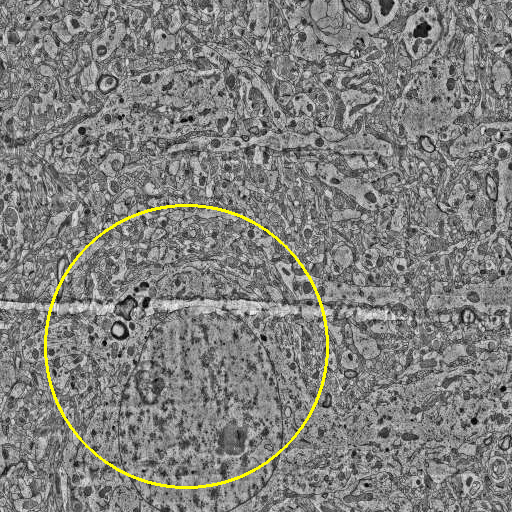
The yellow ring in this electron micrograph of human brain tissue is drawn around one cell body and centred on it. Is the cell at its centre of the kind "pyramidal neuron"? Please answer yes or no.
yes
